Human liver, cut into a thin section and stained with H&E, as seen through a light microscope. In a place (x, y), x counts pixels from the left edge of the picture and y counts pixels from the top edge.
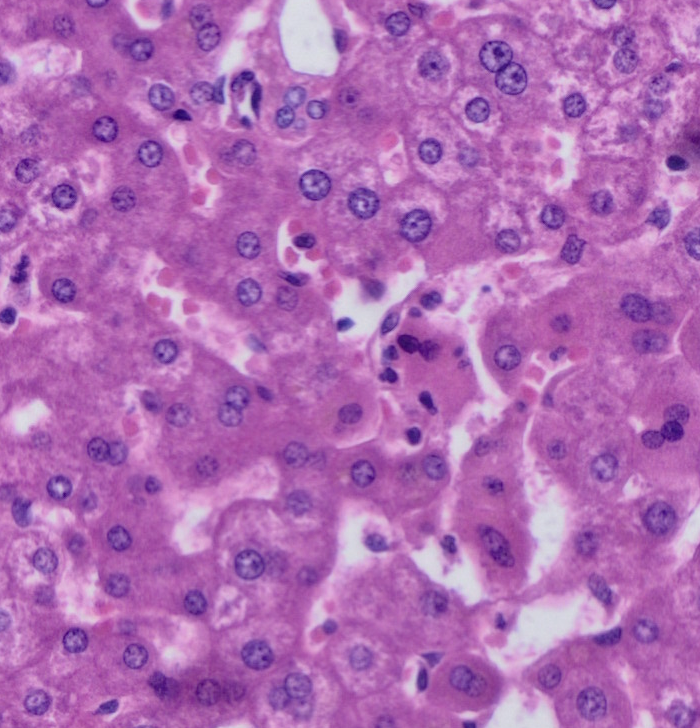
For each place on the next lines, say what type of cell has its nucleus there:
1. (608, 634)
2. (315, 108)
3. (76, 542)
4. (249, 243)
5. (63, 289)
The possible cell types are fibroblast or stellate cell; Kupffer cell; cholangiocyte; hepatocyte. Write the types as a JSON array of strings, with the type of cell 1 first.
["fibroblast or stellate cell", "cholangiocyte", "Kupffer cell", "hepatocyte", "hepatocyte"]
